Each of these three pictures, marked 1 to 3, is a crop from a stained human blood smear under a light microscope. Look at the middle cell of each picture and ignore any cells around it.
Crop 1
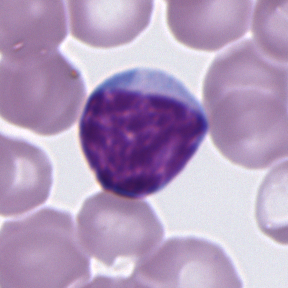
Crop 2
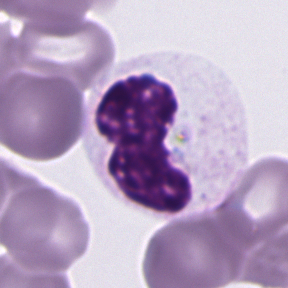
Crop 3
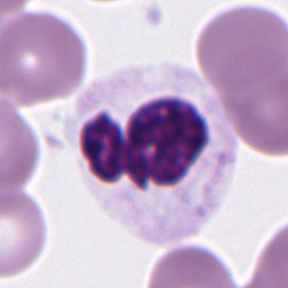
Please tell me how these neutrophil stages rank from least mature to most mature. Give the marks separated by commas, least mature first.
1, 2, 3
